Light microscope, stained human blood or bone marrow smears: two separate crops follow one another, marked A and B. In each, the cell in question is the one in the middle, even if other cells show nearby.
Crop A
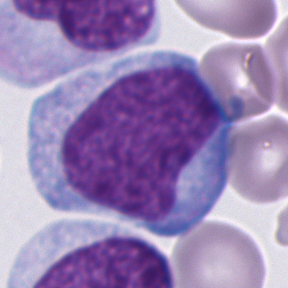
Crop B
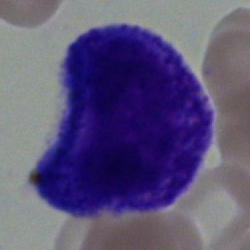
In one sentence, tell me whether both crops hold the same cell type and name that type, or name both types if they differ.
Yes, the cells of interest in both crops are promyelocytes.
